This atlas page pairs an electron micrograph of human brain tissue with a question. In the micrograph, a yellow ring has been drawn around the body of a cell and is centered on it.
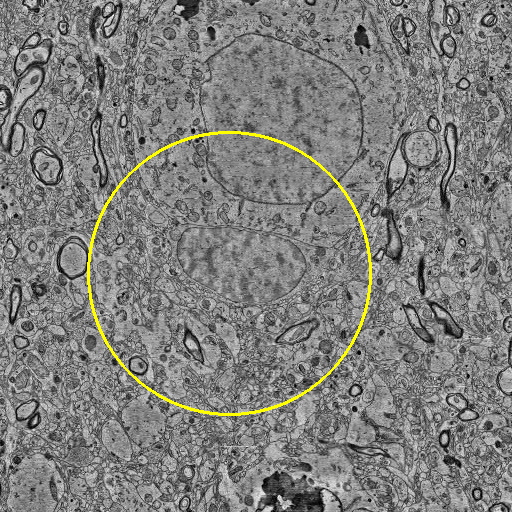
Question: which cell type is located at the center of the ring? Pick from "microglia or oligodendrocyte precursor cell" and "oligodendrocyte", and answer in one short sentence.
Located at the center of the ring is an oligodendrocyte.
